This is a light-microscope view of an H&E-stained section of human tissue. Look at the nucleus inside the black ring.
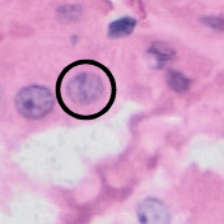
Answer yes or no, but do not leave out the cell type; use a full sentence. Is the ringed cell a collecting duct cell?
No, the ringed cell is regarded as a proximal tubule cell rather than a collecting duct cell.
